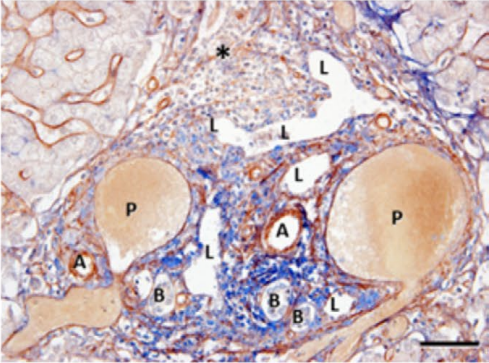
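A portal tract of the liver lies between pale hepatocyte plates, with two large rounded interlobular vein lumina filled with pale brown material. Between them, interlobular arteries with brown-ringed walls, small bile ducts and several thin-walled empty lymphatic vessels are embedded in connective tissue. In the surrounding parenchyma brown lines outline the spaces between hepatocytes.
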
